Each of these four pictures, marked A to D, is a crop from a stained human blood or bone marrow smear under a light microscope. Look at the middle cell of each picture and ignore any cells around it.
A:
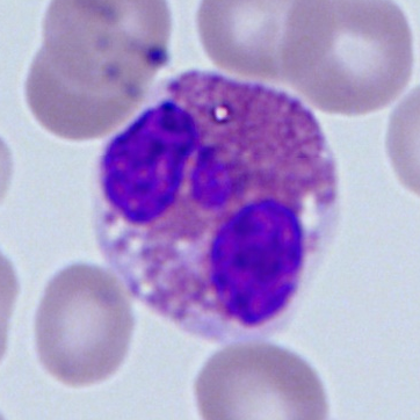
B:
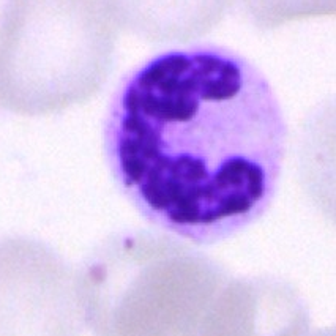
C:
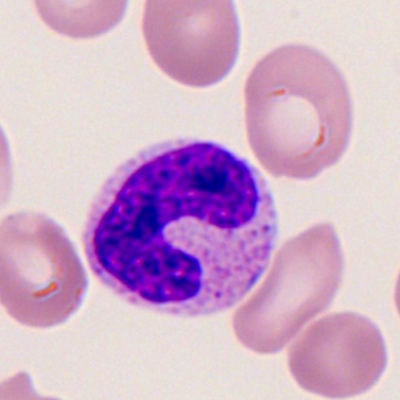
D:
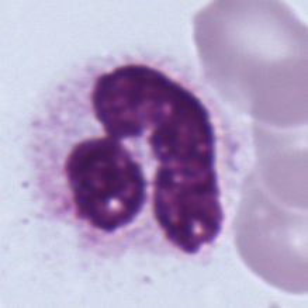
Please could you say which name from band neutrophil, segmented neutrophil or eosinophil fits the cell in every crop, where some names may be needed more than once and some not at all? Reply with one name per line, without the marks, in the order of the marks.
eosinophil
segmented neutrophil
band neutrophil
segmented neutrophil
